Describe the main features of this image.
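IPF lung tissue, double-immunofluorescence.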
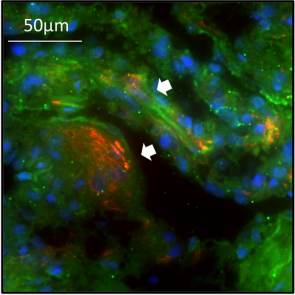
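Blue nuclei are scattered throughout a diffusely green-stained tissue. Small bright green dots are dotted across the tissue.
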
